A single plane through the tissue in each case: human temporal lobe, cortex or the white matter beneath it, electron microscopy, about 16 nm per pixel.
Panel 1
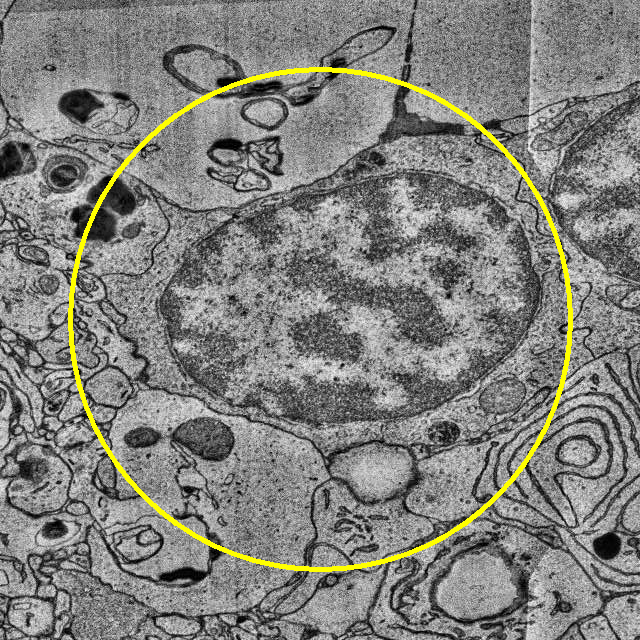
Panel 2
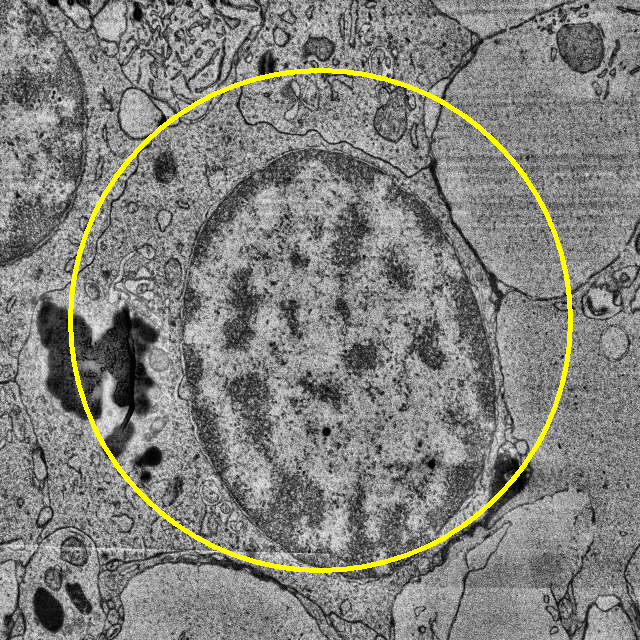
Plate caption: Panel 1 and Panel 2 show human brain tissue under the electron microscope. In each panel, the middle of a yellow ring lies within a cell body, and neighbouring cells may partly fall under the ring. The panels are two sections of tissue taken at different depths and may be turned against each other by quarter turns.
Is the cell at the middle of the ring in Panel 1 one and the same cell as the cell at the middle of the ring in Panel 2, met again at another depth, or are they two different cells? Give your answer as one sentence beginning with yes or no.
Yes, the two rings encircle a single cell, not a pair.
